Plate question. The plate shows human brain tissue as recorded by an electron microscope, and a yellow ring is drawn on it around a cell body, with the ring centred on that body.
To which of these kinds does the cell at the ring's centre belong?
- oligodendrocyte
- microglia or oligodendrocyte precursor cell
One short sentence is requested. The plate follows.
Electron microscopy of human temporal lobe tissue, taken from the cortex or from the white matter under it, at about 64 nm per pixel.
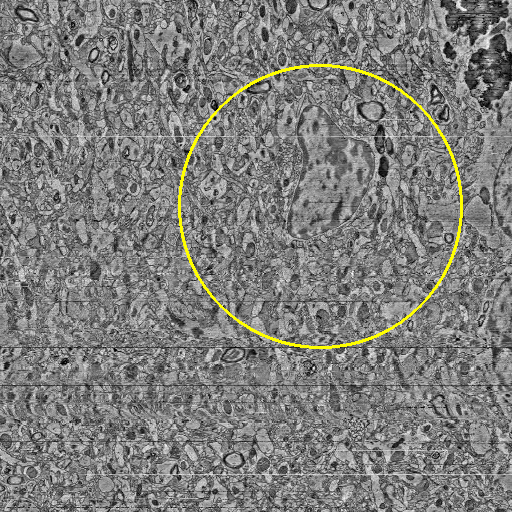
The cell at the ring's centre is a microglial cell or oligodendrocyte precursor cell.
